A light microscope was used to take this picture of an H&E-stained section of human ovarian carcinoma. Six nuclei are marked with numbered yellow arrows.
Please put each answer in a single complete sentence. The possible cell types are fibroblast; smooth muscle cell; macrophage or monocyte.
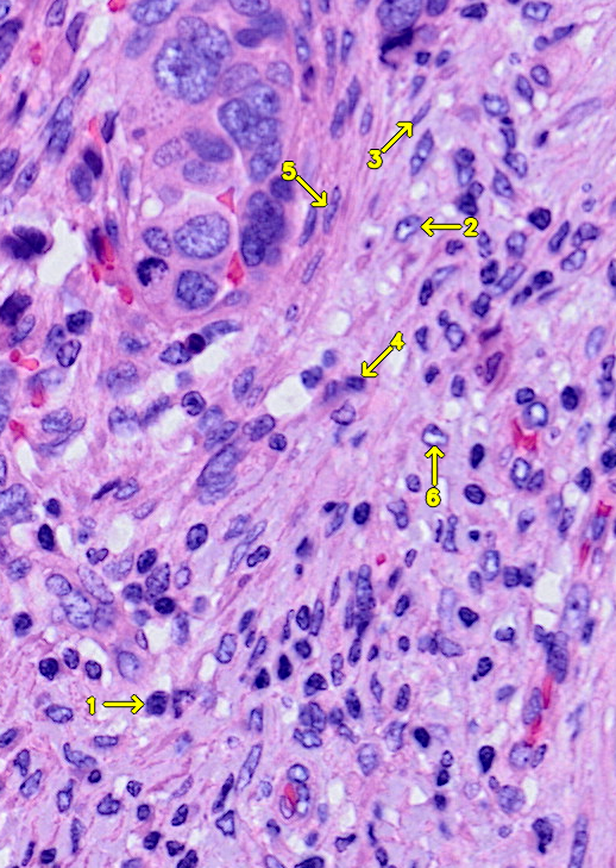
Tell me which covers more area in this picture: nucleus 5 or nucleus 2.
Nucleus 2 covers more area, about 1.5 times as much as nucleus 5.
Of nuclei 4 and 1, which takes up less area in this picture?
Nucleus 4 covers less area, with nucleus 1 about 1.5 times as large.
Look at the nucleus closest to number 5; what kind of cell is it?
The cell nearest to number 5 is a fibroblast.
